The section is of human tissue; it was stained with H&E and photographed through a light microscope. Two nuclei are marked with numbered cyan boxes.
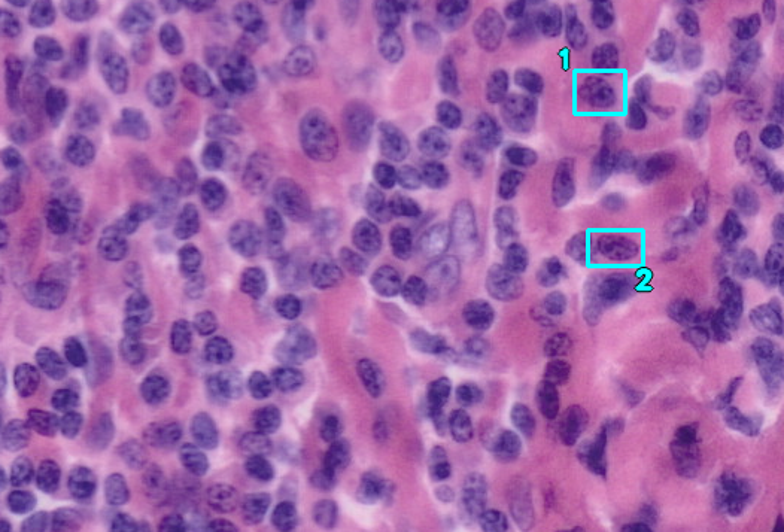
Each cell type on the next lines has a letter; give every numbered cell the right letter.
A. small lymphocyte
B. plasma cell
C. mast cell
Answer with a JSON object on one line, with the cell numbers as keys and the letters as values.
{"1": "B", "2": "C"}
